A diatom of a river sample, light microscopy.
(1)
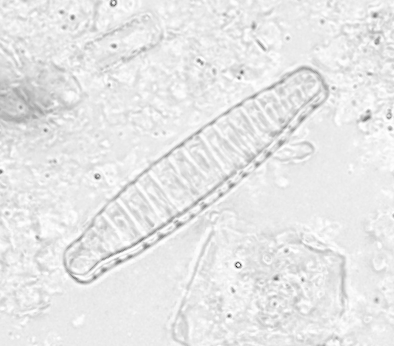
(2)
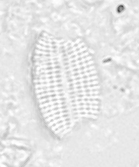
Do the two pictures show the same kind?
No: Diatoma, then Cocconeis.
